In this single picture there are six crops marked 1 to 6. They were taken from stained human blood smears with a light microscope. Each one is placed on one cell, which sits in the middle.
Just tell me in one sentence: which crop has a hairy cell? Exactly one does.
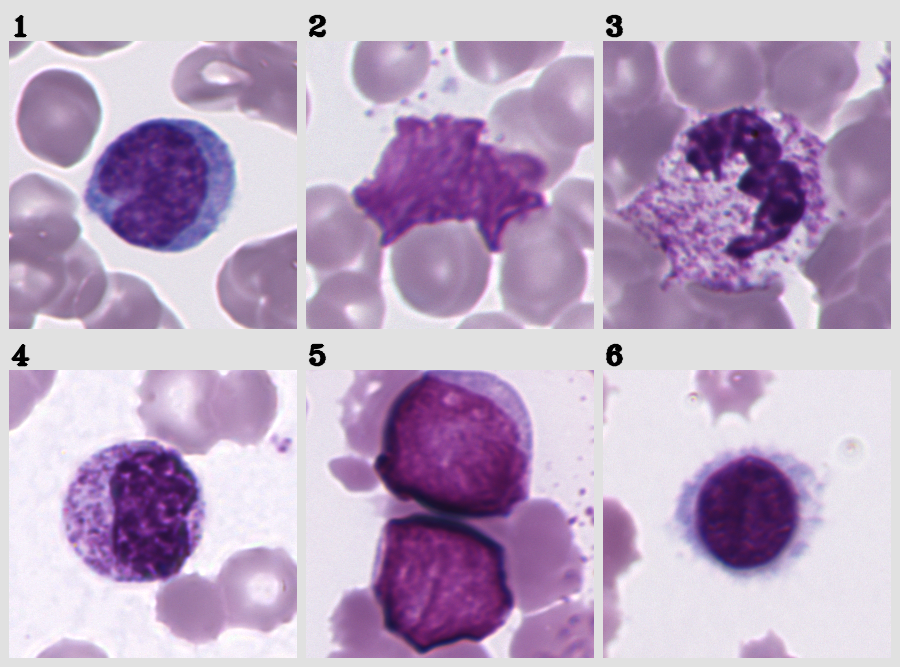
Of the cells presented, the one in crop 6 is a hairy cell.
